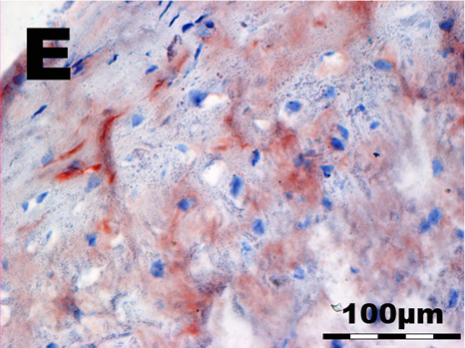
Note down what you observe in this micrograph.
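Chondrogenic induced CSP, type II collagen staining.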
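A section of cells embedded in abundant extracellular matrix, with blue-stained nuclei scattered at wide intervals. The matrix between the cells stains patchily red to pinkish, more intense in some areas and strands. Many nuclei are rounded or oval and some sit within small pale spaces in the matrix.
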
